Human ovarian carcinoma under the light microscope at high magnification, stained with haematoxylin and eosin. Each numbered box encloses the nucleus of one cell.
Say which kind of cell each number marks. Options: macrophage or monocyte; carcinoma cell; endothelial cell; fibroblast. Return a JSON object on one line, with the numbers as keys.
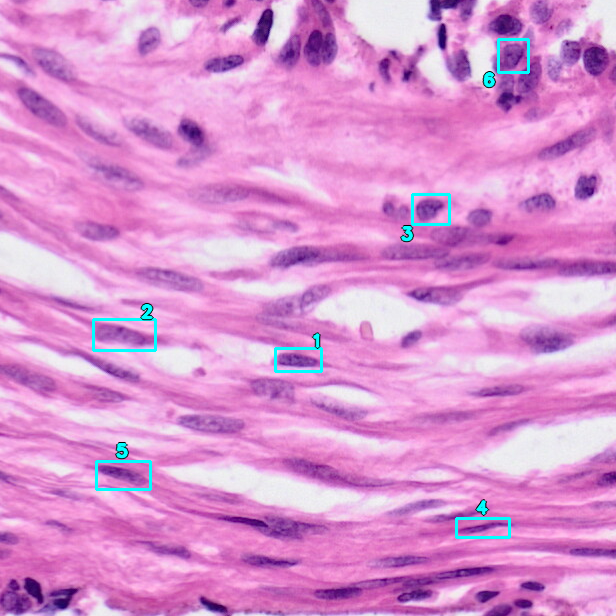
{"1": "fibroblast", "2": "fibroblast", "3": "macrophage or monocyte", "4": "fibroblast", "5": "fibroblast", "6": "carcinoma cell"}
